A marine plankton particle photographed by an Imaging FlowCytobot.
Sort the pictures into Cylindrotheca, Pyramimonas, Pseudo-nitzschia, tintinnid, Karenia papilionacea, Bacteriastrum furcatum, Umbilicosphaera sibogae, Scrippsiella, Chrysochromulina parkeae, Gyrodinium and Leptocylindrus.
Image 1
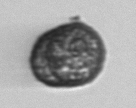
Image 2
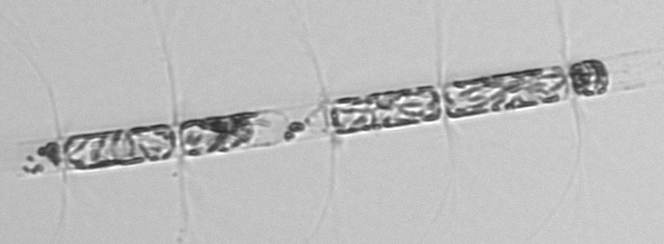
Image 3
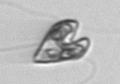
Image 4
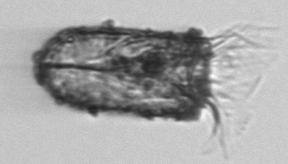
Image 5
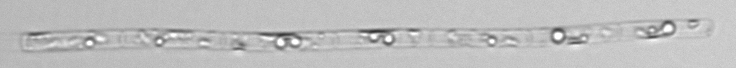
Umbilicosphaera sibogae: 1
Bacteriastrum furcatum: 2
Pyramimonas: 3
Tintinnids: 4
Leptocylindrus: 5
